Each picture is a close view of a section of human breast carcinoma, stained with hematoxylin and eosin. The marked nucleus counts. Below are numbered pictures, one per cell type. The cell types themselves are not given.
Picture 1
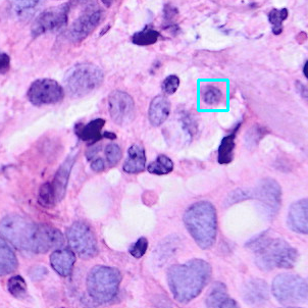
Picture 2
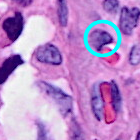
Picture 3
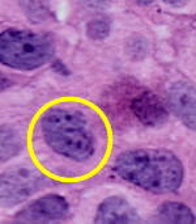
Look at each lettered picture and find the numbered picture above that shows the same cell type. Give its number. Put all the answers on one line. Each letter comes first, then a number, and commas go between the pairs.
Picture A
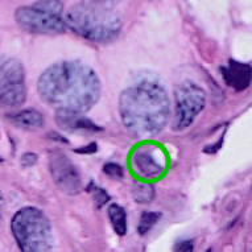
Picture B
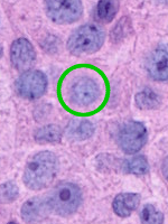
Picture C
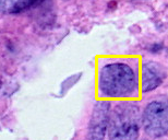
A 2, B 3, C 3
